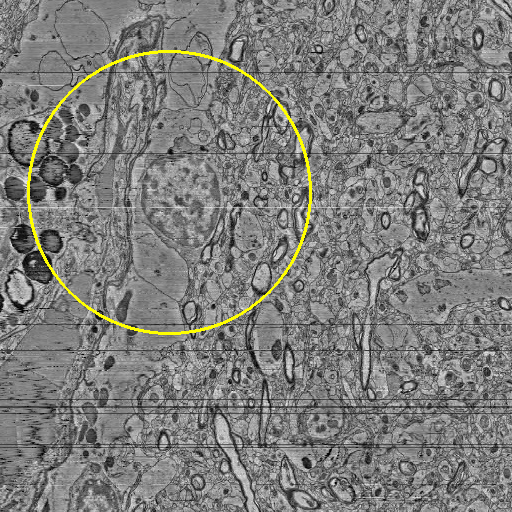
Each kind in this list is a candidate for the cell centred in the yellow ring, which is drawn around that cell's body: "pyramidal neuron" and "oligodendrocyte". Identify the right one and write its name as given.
oligodendrocyte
